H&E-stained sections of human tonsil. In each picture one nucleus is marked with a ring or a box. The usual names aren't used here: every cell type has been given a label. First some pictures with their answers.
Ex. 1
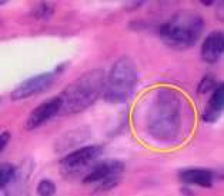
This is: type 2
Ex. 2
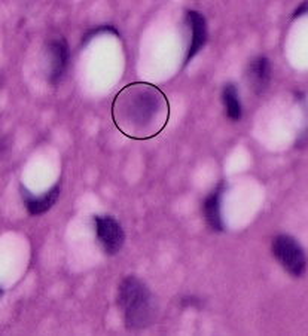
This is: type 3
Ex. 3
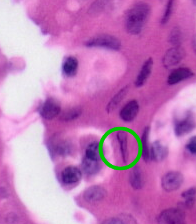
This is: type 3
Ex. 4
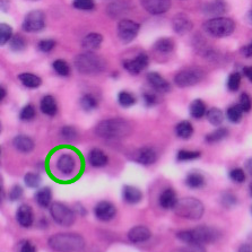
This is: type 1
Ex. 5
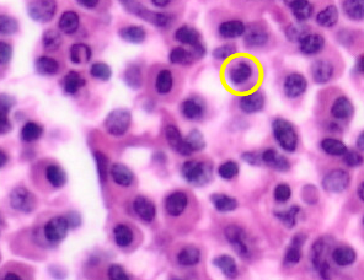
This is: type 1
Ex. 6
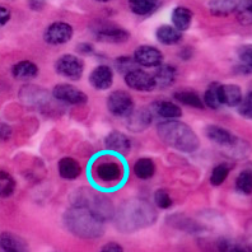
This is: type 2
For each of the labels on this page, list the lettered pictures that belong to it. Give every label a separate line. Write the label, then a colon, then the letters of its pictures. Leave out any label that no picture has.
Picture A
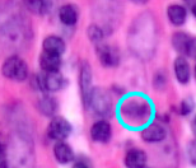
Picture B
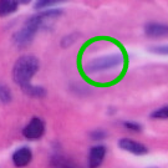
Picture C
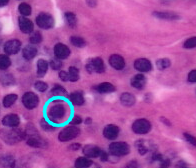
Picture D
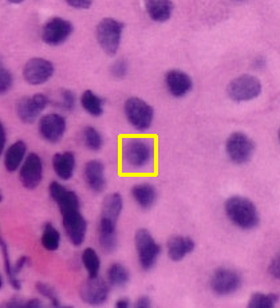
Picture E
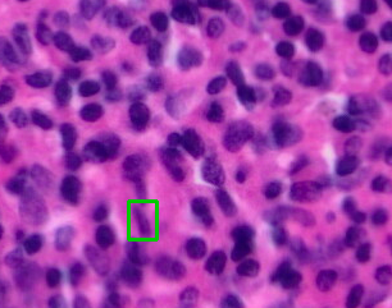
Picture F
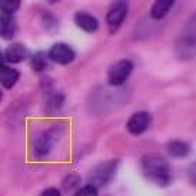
type 2: A, B, E, F
type 3: D
type 1: C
